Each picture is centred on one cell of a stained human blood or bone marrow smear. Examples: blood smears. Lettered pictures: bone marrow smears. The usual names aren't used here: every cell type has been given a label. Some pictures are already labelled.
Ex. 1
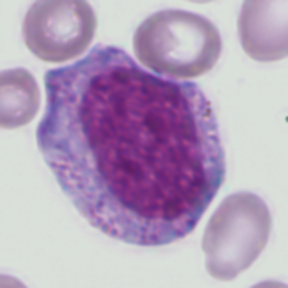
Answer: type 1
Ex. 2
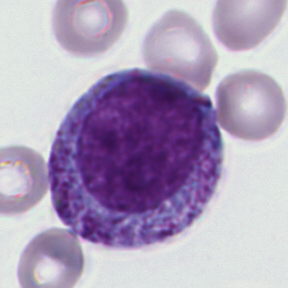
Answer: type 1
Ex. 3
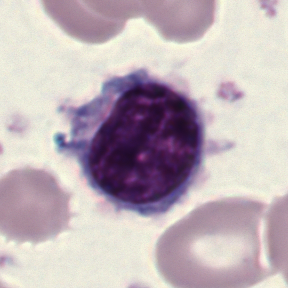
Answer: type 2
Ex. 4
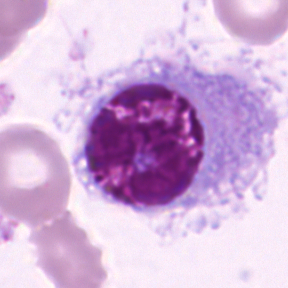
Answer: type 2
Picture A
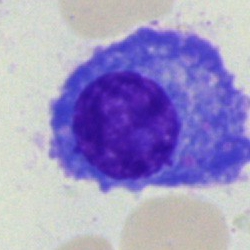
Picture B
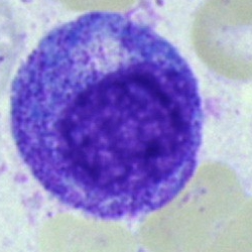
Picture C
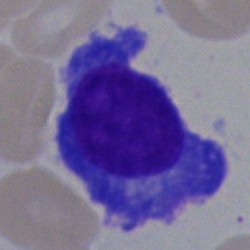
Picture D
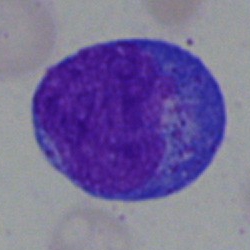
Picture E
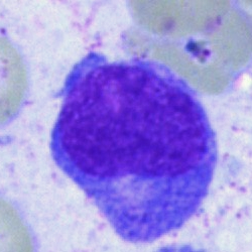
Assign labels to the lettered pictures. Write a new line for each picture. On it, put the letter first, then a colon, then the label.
A: type 2
B: type 1
C: type 2
D: type 1
E: type 1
